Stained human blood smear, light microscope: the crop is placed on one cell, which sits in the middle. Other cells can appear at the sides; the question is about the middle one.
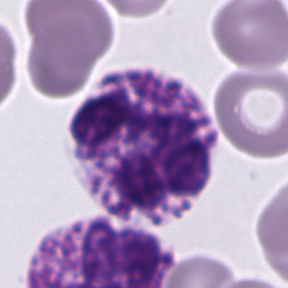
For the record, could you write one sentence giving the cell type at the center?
As for the cell in the middle, it is a basophil.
